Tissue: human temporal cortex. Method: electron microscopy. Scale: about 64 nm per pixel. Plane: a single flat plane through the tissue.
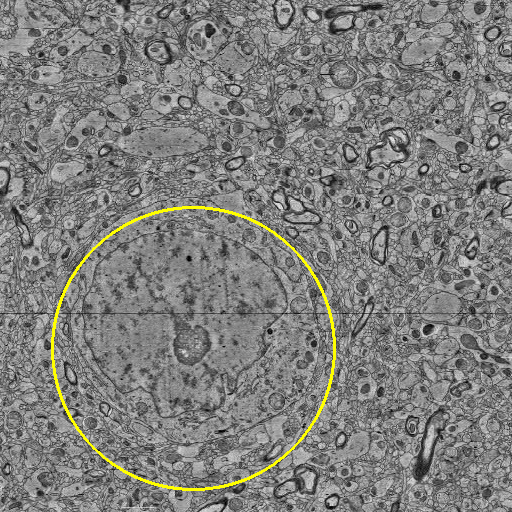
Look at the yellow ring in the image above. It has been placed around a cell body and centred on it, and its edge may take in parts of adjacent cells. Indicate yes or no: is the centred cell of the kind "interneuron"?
no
